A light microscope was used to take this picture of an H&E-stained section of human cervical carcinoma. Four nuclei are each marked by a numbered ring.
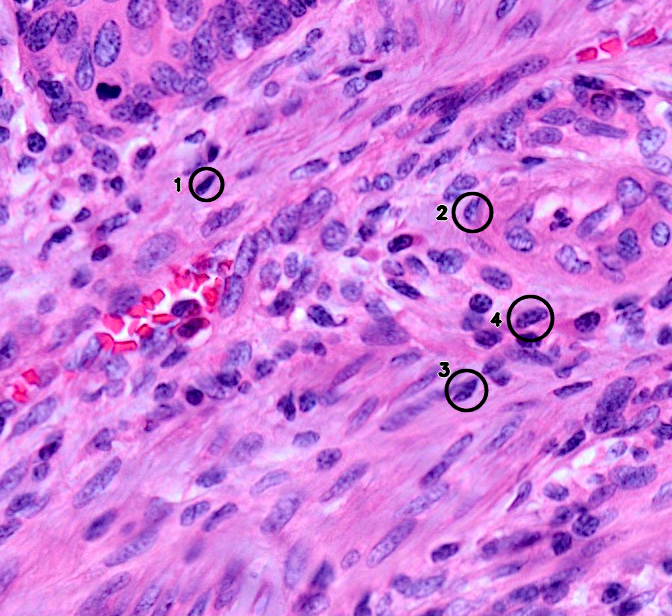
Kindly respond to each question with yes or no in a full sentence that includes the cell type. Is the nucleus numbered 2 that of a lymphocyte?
No, the cell at marker 2 is not a lymphocyte; it is a smooth muscle cell.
